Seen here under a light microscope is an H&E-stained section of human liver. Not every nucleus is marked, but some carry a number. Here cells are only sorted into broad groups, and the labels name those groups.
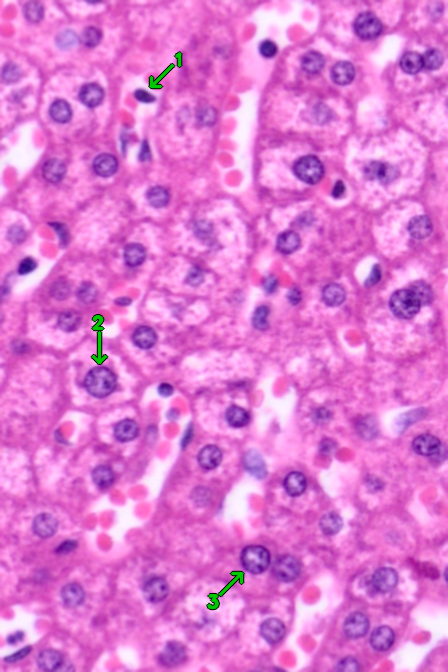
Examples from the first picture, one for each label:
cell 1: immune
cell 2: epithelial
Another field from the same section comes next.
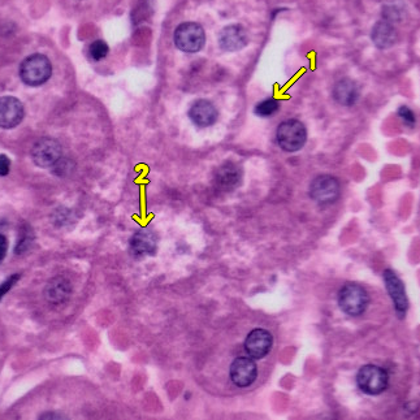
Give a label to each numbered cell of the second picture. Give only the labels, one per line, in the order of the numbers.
immune
epithelial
